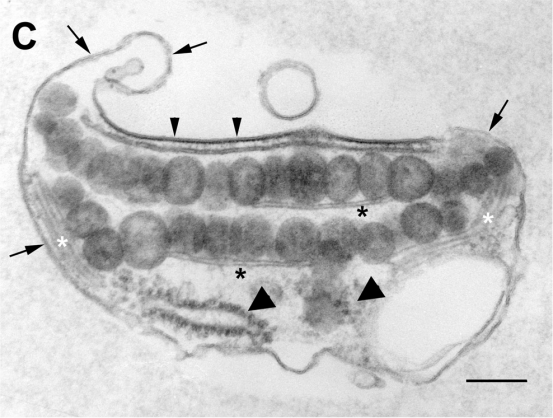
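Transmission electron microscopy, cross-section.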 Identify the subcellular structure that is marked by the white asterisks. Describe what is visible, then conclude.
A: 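Thylakoid stack. Several parallel closely stacked membranes lie at the ends of the globule layers.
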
